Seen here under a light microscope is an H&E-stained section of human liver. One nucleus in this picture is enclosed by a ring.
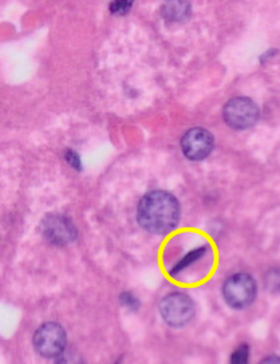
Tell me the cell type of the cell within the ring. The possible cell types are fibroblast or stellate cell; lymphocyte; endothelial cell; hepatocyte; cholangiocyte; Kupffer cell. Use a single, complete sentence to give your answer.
The identity of the cell within the ring: it is an endothelial cell.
